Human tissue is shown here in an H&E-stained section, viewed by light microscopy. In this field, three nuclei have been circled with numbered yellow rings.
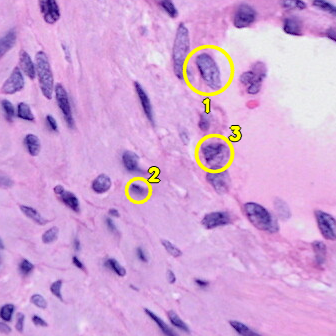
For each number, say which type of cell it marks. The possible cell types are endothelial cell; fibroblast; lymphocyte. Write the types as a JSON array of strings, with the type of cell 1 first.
["endothelial cell", "fibroblast", "endothelial cell"]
